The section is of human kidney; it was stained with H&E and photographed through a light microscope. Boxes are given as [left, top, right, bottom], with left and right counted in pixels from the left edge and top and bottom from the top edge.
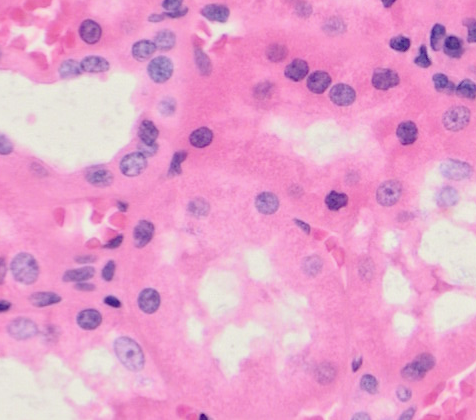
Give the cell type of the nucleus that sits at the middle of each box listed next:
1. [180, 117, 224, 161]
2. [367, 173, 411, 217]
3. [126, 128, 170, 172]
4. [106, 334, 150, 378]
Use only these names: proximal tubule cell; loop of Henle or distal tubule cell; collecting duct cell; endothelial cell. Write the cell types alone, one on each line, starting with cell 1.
proximal tubule cell
proximal tubule cell
collecting duct cell
proximal tubule cell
